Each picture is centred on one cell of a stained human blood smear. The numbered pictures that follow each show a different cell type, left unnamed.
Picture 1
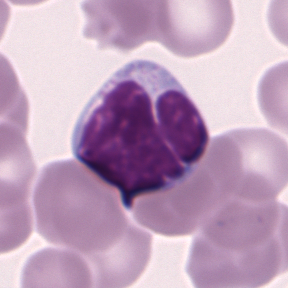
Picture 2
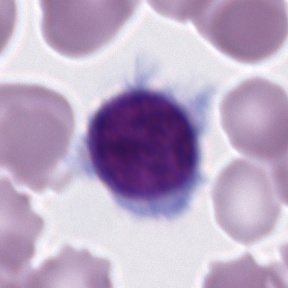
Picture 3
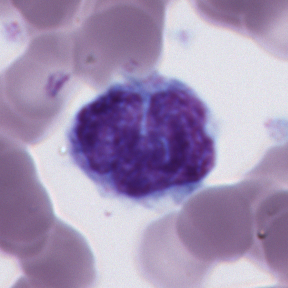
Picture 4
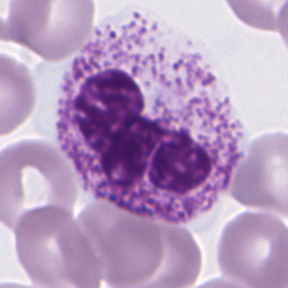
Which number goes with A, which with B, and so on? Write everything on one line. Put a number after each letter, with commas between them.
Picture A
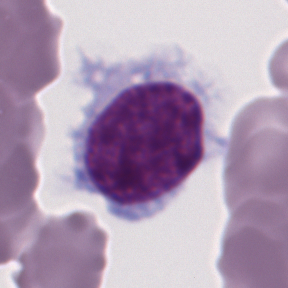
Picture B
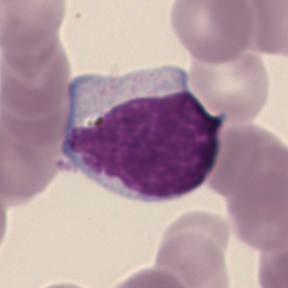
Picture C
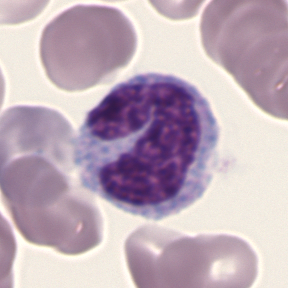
A 2, B 1, C 3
